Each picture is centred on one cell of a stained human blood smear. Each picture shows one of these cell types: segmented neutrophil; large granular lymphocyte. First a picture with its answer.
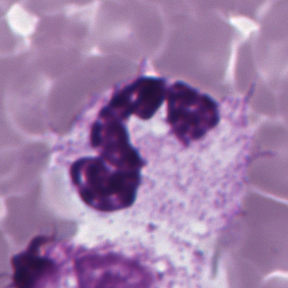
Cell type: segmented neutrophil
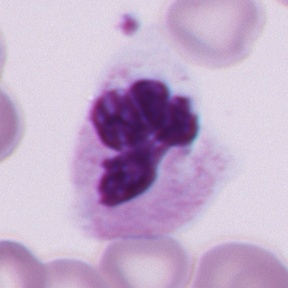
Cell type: segmented neutrophil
